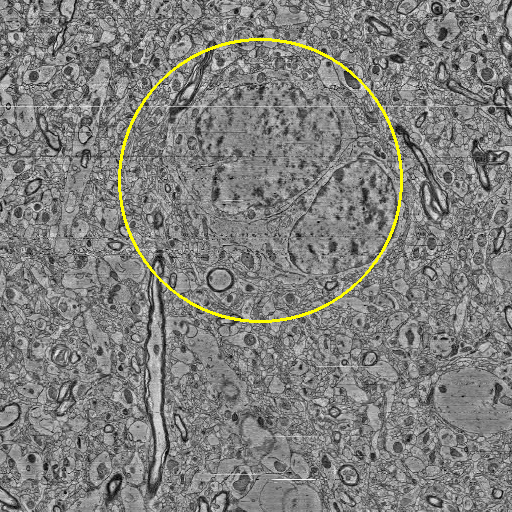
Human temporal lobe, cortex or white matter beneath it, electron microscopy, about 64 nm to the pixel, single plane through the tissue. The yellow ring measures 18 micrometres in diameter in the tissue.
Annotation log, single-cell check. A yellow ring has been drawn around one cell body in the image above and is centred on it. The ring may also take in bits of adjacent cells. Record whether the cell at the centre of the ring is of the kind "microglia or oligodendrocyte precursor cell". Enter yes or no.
no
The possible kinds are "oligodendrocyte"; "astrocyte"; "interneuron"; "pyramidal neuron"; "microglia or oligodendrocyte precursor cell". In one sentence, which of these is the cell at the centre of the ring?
The cell in the ring is an interneuron instead.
